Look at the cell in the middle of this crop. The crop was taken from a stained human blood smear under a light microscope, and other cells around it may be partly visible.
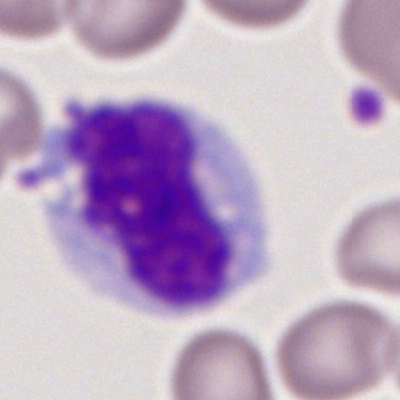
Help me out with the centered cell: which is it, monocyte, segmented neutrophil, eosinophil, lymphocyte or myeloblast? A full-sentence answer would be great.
This crop's central cell is a monocyte.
